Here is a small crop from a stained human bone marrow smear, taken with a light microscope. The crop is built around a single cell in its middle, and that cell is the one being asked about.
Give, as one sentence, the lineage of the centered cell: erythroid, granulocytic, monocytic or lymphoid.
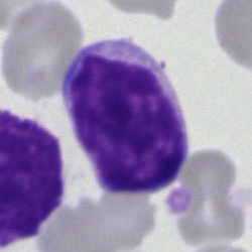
The cell at the center belongs, by lineage, to the lymphoid line.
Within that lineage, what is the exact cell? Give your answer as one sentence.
The cell in the middle of this crop is a lymphocyte.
